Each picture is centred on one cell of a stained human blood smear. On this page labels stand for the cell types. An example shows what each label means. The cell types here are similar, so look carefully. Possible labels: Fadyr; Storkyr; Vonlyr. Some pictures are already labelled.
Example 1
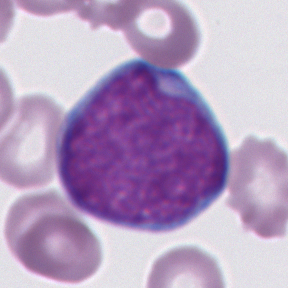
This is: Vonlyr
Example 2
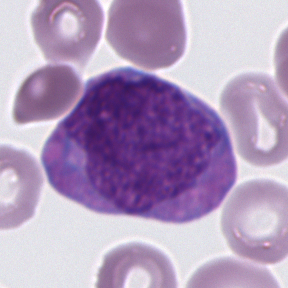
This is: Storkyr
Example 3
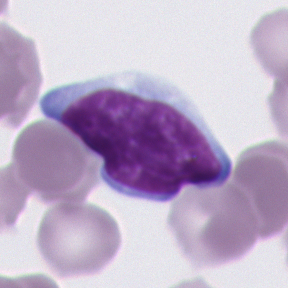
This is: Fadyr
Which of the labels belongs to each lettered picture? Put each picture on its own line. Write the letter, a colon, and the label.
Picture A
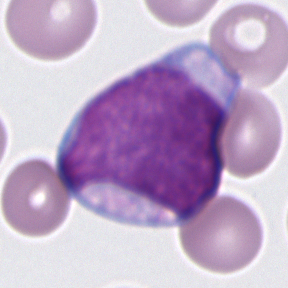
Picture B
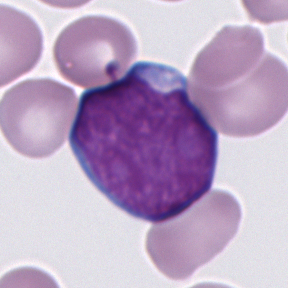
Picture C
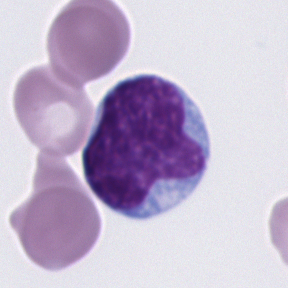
A: Storkyr
B: Vonlyr
C: Vonlyr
